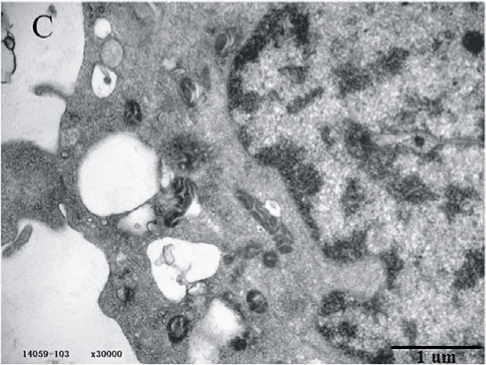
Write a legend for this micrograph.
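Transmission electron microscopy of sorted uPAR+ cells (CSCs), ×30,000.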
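The nucleus contains irregular dark clumps of heterochromatin scattered in paler nucleoplasm. The dense cytoplasm holds only a few small, dark mitochondria with visible cristae, together with several large clear vacuoles near the cell surface. Short cytoplasmic projections extend from the cell border at the left.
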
